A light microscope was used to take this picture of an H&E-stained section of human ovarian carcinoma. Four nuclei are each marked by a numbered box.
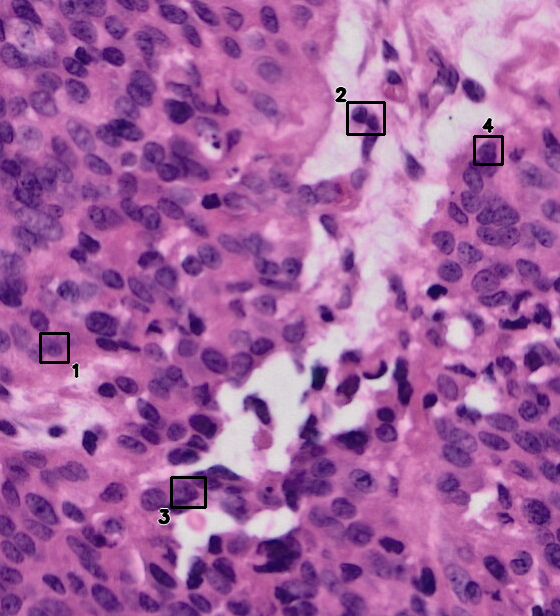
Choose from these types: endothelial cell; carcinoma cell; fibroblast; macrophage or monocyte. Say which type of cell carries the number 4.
carcinoma cell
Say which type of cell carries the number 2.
macrophage or monocyte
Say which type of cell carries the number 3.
carcinoma cell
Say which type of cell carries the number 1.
carcinoma cell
